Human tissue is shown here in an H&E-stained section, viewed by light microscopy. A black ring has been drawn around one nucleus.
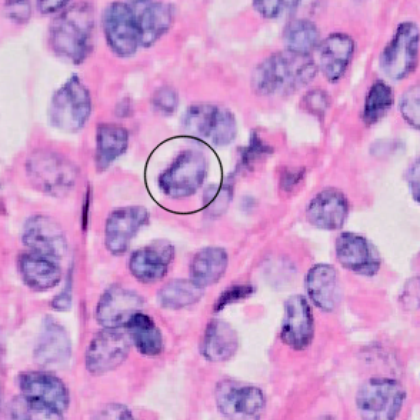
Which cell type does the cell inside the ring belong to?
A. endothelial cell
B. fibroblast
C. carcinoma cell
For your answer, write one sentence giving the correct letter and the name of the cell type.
Option C is right in classifying the cell inside the ring as a carcinoma cell.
